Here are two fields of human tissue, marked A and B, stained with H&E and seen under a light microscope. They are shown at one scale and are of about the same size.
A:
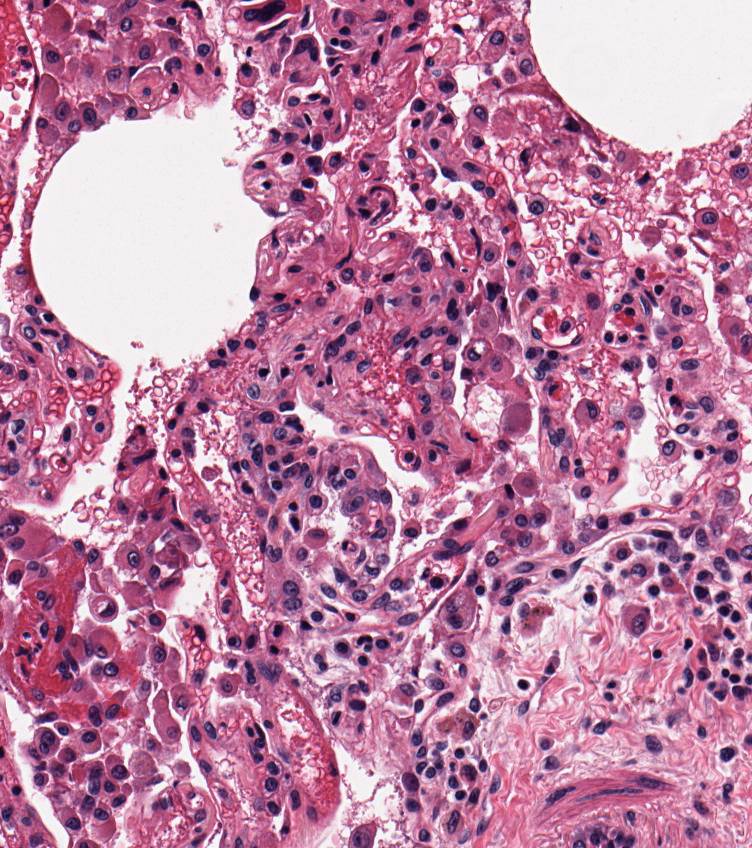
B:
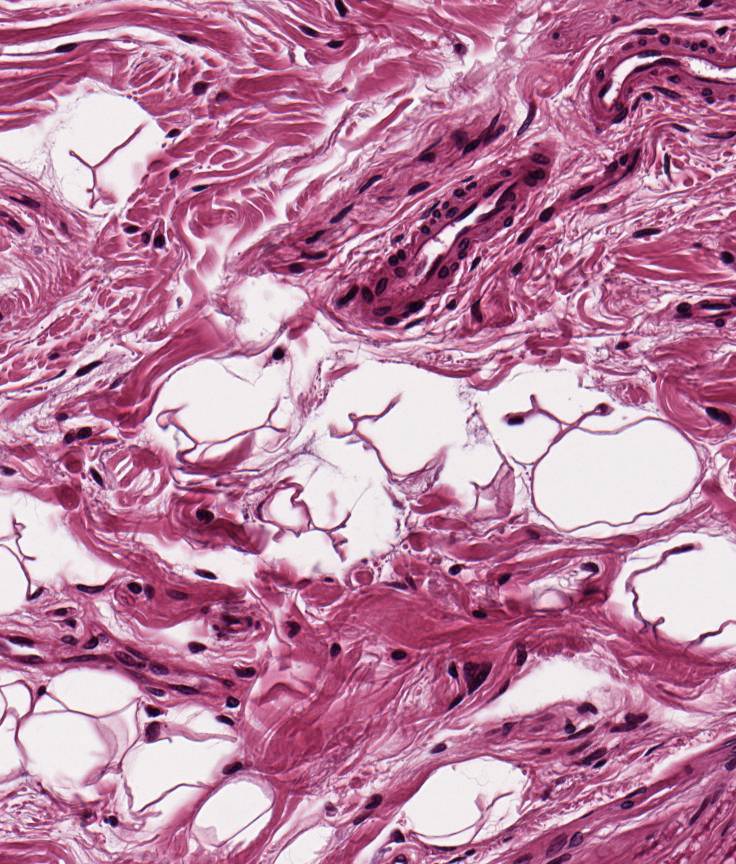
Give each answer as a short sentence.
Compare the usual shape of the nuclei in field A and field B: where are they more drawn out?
Longer, more slender nuclei lie in field B.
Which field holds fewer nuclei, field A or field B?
Field B holds fewer nuclei than field A.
